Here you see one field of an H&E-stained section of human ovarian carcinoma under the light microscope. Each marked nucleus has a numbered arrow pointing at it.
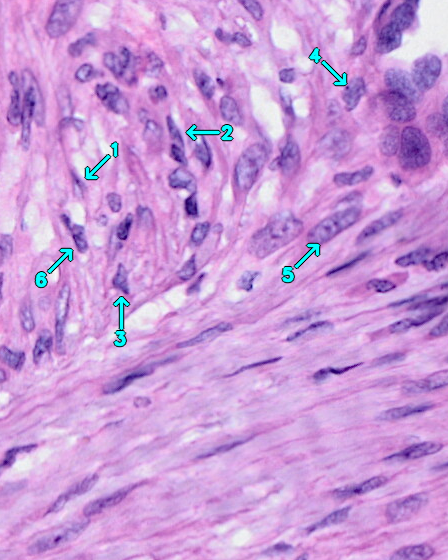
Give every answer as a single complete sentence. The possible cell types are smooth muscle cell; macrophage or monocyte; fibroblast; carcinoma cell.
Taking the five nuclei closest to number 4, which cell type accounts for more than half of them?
Most of the five nuclei nearest to number 4 are those of fibroblasts.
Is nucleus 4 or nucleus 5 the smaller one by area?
The smaller nucleus is 4, and 5 covers roughly 2 times its area.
